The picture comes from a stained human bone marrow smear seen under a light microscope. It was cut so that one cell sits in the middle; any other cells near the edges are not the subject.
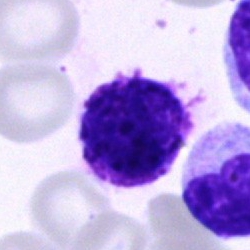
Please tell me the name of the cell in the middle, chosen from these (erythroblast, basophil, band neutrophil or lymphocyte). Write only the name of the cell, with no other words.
basophil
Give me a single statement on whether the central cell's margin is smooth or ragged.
Along the periphery, ragged stretches or projections make the outline irregular.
